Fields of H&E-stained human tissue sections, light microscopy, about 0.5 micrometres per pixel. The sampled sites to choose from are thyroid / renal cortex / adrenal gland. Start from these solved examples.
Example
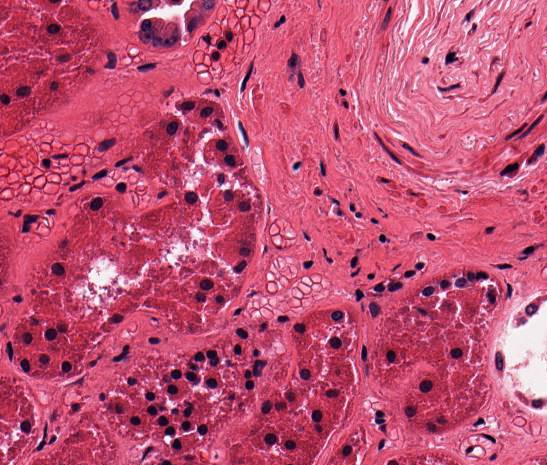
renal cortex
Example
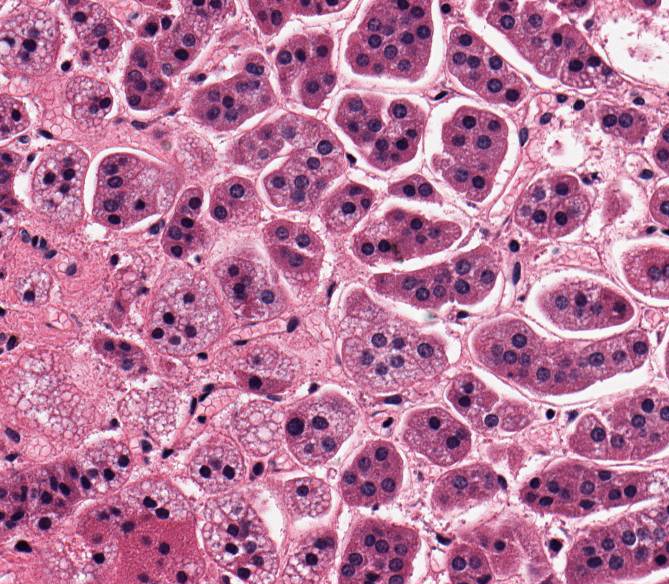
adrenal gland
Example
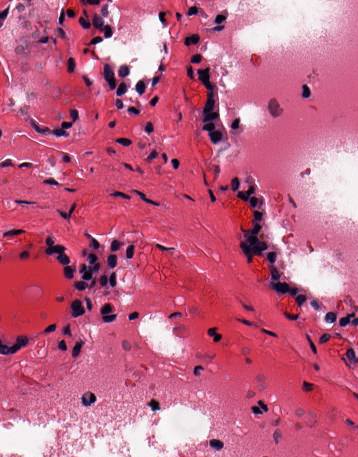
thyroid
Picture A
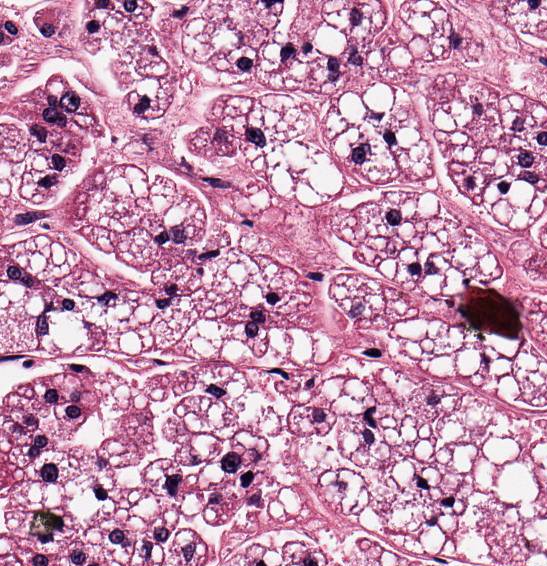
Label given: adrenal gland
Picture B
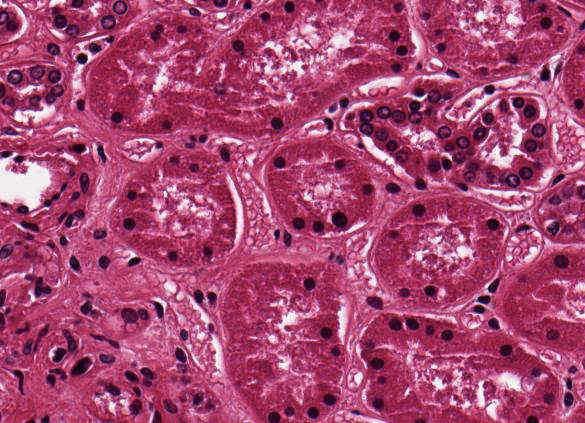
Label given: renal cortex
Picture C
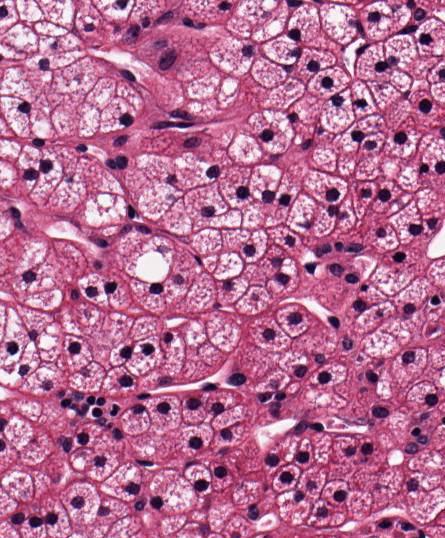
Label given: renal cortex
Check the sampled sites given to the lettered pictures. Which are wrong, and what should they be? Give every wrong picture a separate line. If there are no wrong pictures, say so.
C is labelled renal cortex; correct label: adrenal gland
